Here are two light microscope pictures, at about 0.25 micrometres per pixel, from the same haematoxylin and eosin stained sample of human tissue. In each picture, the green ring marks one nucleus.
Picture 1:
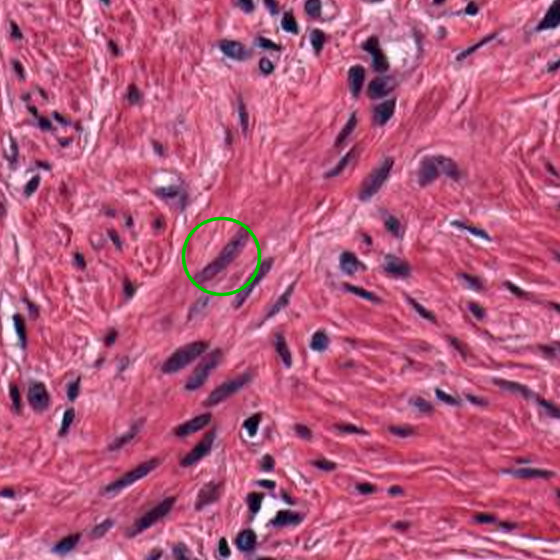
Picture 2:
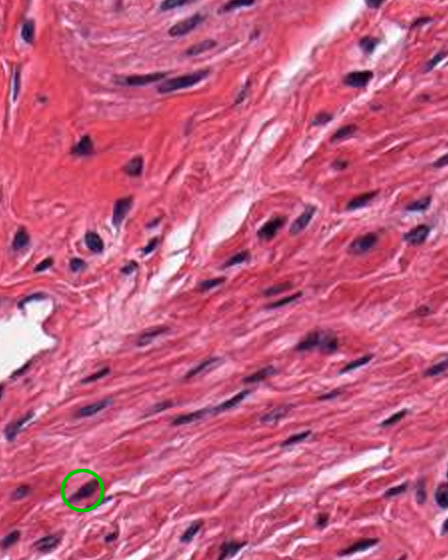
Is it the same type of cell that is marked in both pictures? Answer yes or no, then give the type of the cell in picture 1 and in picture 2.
Yes, both are smooth muscle cells.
